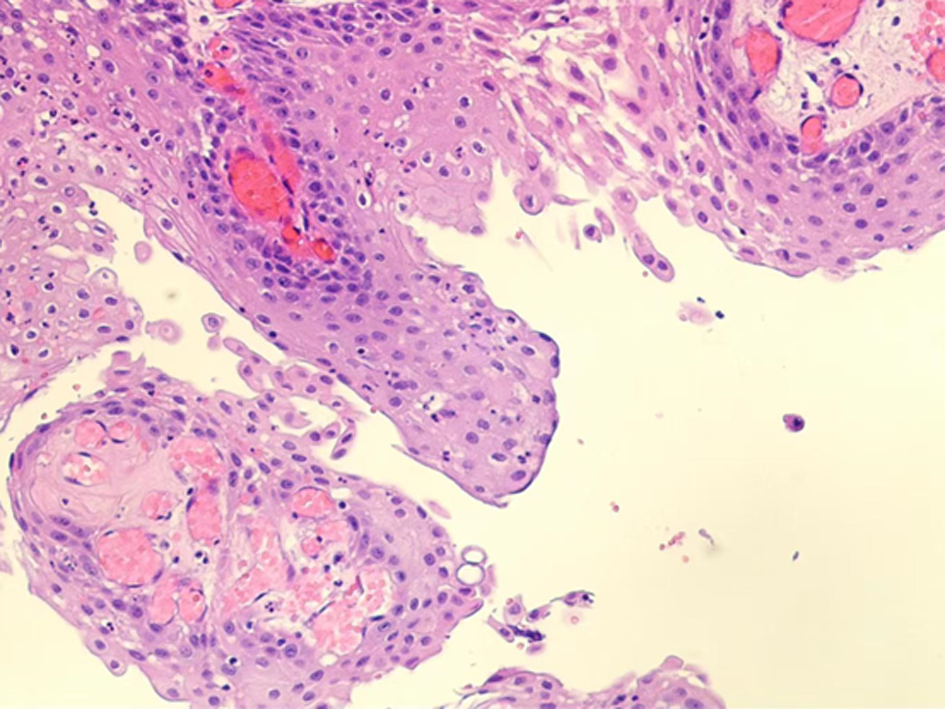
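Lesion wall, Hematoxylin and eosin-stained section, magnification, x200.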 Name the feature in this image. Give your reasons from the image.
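Papillary architecture. Finger-like projections of epithelium separated by clear spaces. Central cores containing blood-filled vessels covered by epithelium.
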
